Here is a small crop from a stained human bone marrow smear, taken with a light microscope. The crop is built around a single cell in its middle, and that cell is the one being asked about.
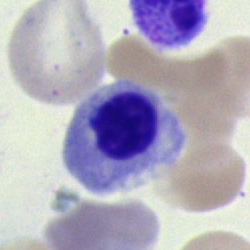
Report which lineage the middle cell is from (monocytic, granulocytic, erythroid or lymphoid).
erythroid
